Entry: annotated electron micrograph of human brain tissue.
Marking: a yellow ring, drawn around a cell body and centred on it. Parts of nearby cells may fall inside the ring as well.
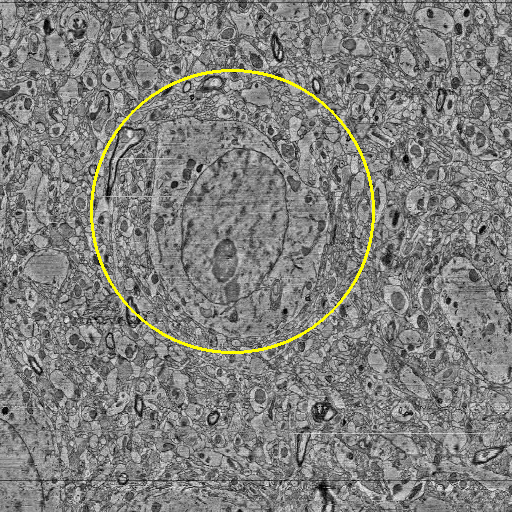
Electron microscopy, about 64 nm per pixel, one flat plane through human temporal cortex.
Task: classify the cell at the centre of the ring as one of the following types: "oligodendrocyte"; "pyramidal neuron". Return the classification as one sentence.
The marked cell is classified as a pyramidal neuron.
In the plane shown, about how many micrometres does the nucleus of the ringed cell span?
The ringed cell's nucleus is roughly 10 by 7 micrometres and clearly longer than it is wide in this plane.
